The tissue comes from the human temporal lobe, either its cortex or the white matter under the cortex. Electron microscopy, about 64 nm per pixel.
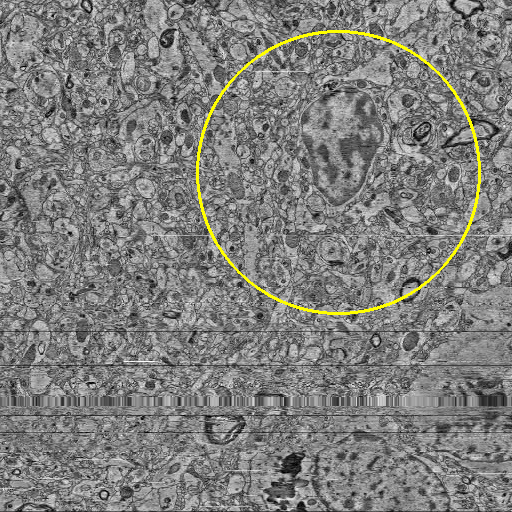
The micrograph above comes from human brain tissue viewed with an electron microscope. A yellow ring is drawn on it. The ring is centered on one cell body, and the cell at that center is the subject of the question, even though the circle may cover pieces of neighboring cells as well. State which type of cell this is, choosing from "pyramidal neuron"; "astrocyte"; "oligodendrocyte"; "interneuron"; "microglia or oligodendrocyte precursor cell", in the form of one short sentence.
The cell the ring is centered on is a microglial cell or oligodendrocyte precursor cell.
